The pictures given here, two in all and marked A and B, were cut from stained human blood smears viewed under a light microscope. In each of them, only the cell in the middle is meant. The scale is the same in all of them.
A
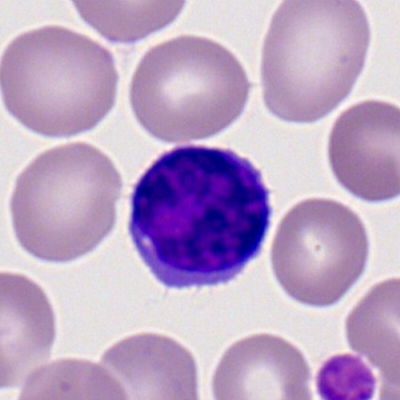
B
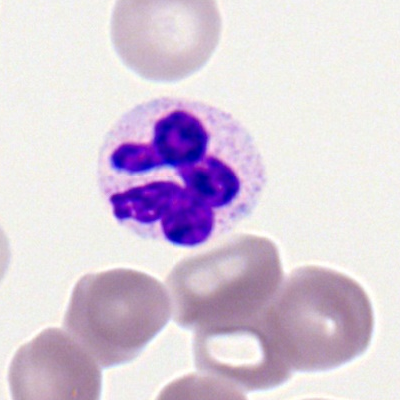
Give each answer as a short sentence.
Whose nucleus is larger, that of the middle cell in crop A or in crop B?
It is the nucleus in crop A, about 1.5 times as large in area as the one in crop B.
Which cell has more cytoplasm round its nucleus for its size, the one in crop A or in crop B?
In crop B the nucleus takes up the smaller part of its cell.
